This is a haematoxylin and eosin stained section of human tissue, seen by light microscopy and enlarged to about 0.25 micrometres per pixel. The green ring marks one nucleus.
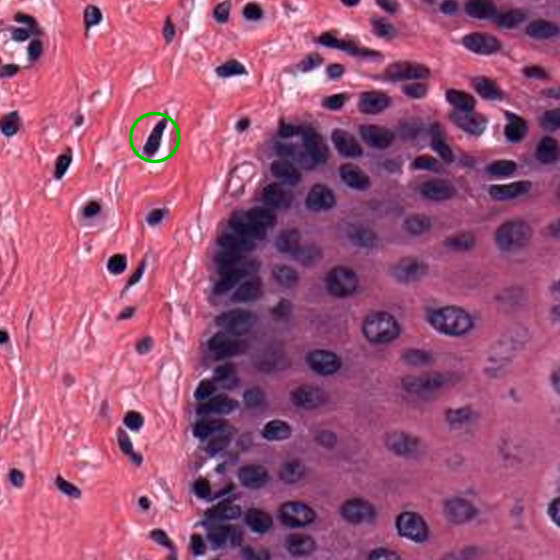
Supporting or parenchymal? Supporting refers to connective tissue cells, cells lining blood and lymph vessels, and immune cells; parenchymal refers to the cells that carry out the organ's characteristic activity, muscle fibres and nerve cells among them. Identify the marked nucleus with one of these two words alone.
supporting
